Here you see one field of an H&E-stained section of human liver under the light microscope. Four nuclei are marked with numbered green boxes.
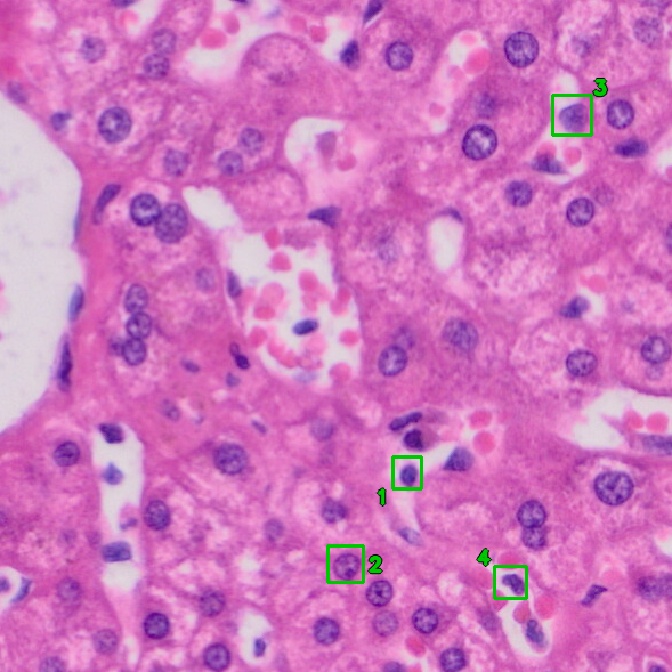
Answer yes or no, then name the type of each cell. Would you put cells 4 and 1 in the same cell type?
Yes, the cell marked 4 and the cell marked 1 are both lymphocytes.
